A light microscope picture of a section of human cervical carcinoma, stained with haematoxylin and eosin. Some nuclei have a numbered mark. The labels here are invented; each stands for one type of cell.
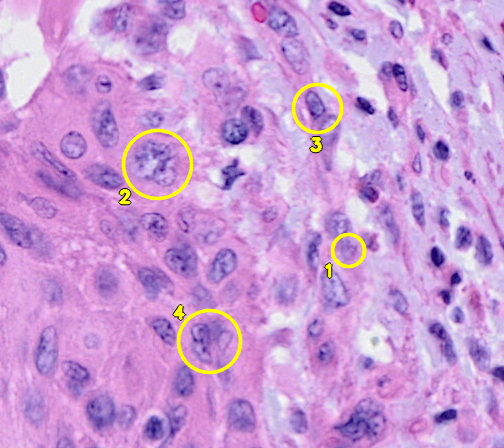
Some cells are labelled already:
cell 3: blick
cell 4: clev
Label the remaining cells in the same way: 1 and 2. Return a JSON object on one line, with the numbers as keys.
{"1": "blick", "2": "clev"}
